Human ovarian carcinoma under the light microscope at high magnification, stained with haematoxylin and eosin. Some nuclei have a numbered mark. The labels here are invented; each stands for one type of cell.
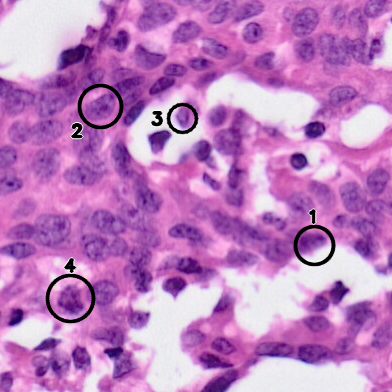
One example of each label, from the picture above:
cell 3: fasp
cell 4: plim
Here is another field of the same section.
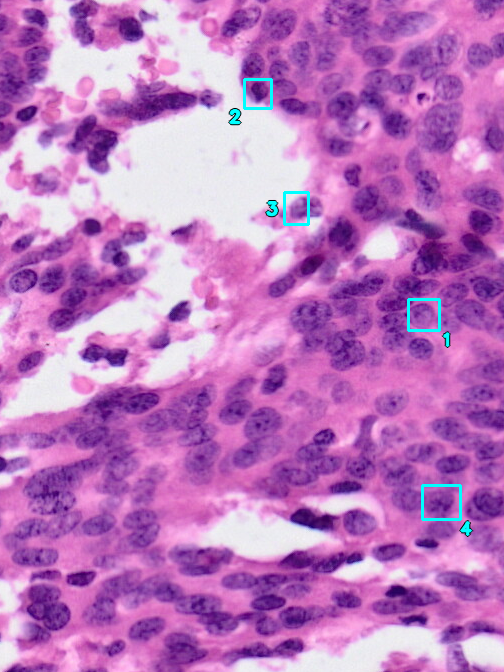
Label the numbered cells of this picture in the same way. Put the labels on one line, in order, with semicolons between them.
plim; plim; fasp; plim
